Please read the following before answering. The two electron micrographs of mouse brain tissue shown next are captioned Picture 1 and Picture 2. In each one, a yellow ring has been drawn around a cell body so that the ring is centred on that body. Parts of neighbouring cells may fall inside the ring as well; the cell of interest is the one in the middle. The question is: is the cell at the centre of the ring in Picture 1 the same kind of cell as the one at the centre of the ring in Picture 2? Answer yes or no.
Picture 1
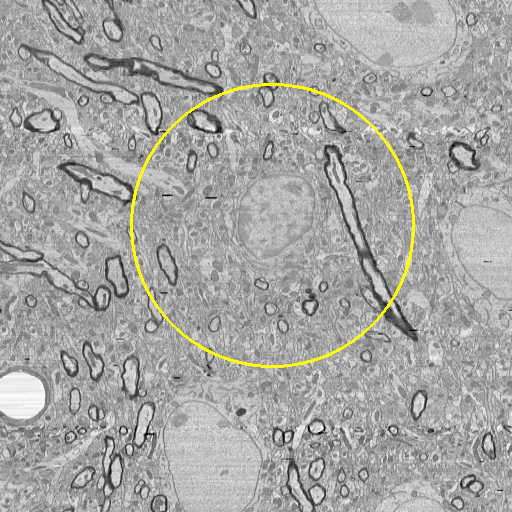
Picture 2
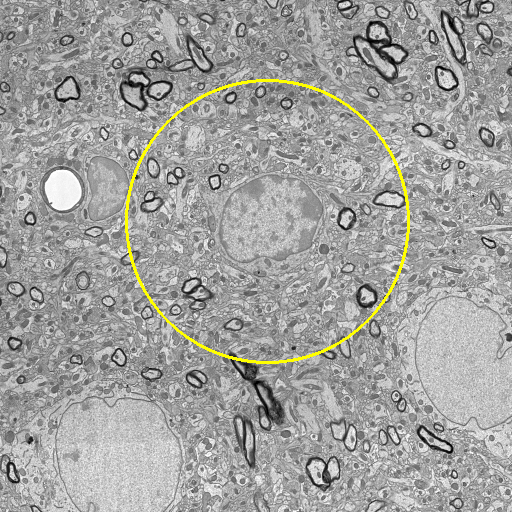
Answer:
yes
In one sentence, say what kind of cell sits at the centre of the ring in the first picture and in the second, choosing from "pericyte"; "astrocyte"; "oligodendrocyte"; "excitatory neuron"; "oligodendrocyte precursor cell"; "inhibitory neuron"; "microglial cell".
Each of the two rings is centred on an oligodendrocyte.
